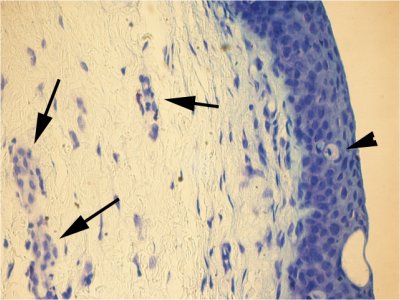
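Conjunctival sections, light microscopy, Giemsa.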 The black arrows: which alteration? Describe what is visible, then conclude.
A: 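Mild infiltrates. The arrows point at small clusters of dark blue round nuclei in the connective tissue. The surrounding connective tissue is loose and pale with widely spaced fibres.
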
